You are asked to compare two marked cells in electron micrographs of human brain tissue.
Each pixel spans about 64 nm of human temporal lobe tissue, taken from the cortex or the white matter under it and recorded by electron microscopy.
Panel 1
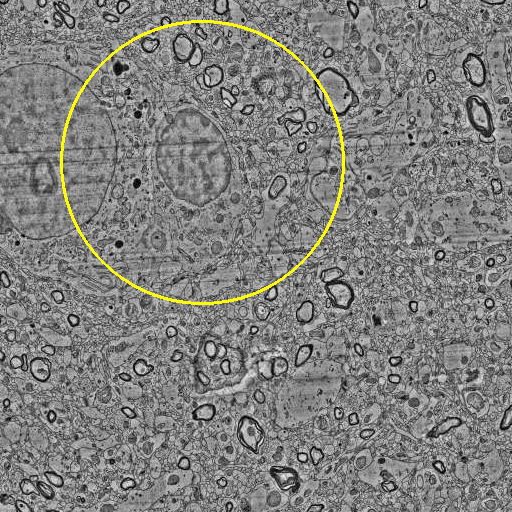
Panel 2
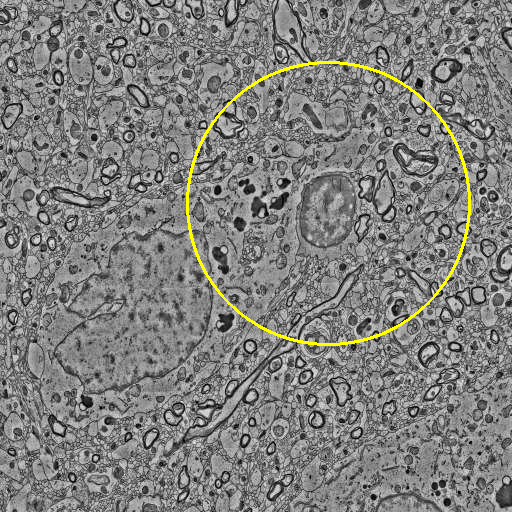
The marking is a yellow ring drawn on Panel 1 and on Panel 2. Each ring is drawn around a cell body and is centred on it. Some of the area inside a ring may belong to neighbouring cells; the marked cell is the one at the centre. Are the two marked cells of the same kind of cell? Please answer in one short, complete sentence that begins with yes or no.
Yes, the two marked cells are of the same kind.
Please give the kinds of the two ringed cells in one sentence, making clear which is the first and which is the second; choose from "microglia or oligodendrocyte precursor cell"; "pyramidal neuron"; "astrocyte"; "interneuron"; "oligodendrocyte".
The cell in the first picture is an oligodendrocyte, and so is the one in the second.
